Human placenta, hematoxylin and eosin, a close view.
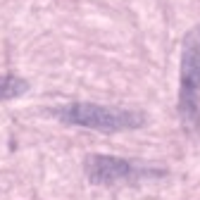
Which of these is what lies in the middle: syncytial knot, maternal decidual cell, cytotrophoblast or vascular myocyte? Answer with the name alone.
vascular myocyte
